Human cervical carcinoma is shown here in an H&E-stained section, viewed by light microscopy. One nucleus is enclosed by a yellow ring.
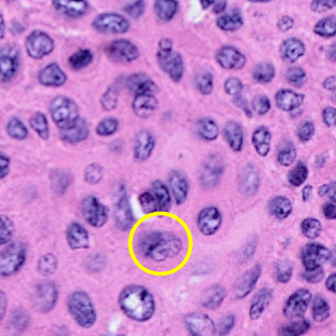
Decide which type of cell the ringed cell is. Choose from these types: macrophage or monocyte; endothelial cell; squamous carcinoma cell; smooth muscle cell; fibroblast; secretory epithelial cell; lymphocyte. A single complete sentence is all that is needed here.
To be brief about it, the ringed cell is a squamous carcinoma cell.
